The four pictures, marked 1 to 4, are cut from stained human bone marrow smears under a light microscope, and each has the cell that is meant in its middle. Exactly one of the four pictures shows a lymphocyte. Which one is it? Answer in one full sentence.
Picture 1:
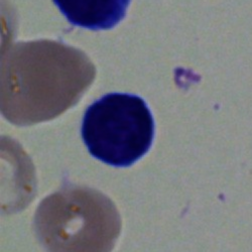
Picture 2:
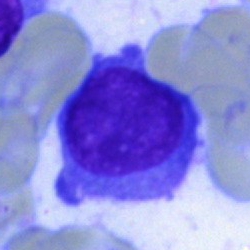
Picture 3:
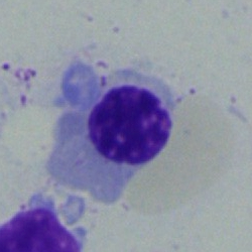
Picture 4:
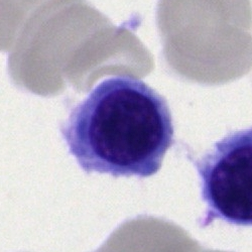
The cell in picture 1 is the lymphocyte.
